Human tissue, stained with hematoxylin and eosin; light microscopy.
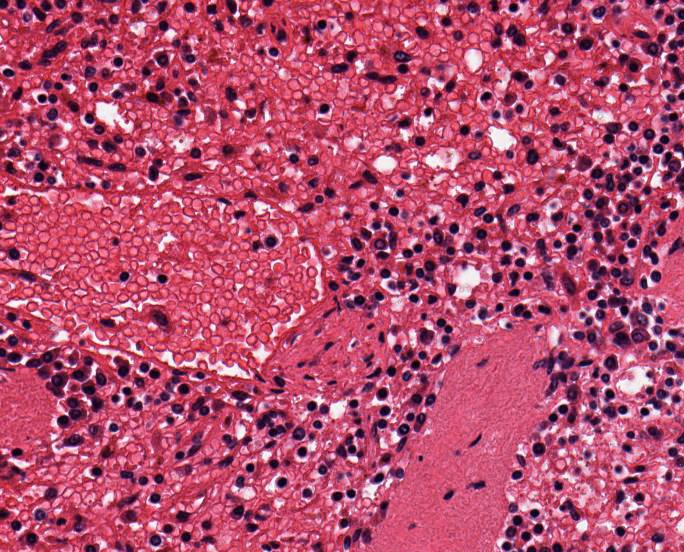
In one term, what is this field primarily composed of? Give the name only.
red pulp of the spleen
